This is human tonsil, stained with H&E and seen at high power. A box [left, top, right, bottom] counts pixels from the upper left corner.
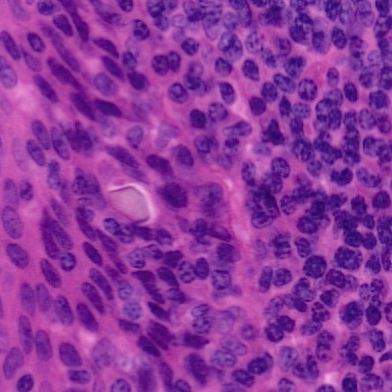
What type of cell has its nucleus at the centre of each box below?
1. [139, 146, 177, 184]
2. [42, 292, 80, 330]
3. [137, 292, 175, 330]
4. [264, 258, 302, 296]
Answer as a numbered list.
1. squamous epithelial cell
2. squamous epithelial cell
3. squamous epithelial cell
4. plasma cell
